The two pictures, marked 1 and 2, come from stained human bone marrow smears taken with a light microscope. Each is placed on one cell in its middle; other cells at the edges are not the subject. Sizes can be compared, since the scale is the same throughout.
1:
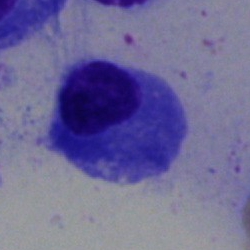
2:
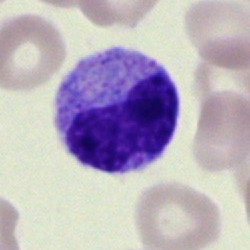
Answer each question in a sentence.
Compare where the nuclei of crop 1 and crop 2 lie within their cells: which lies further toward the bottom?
Seen within its cell, the nucleus in crop 2 lies further toward the bottom.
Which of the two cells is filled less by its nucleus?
Of the two, the nucleus in crop 1 leaves more room for cytoplasm.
